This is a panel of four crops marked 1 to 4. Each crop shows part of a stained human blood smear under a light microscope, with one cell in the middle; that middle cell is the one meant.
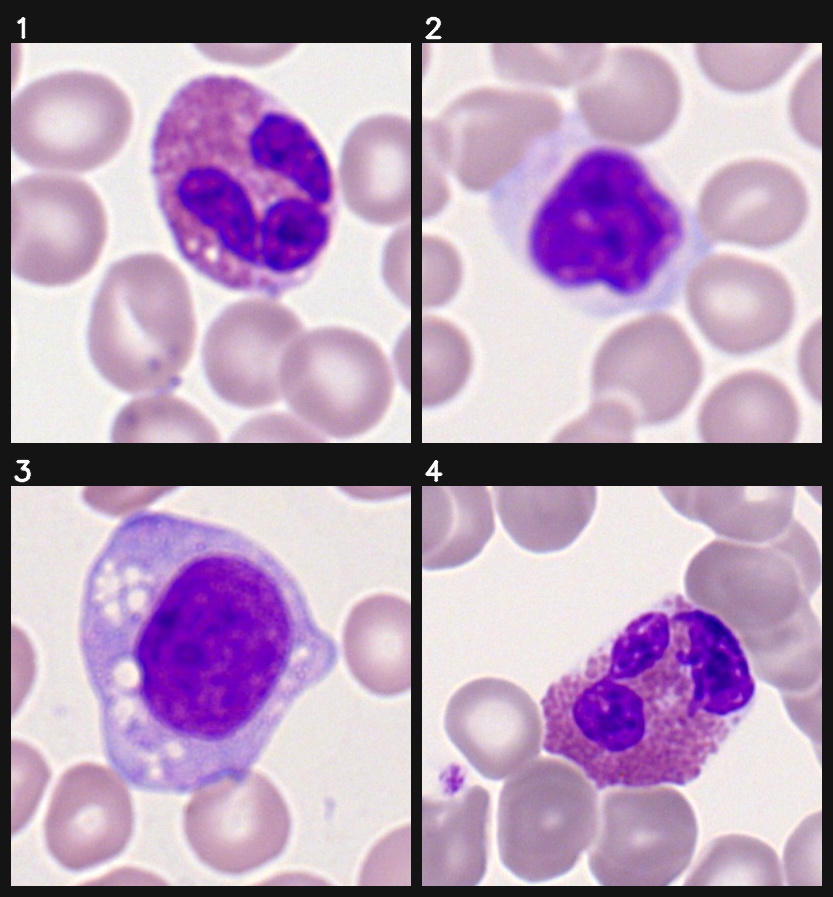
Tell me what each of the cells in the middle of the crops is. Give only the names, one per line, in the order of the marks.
eosinophil
lymphocyte
monocyte
eosinophil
